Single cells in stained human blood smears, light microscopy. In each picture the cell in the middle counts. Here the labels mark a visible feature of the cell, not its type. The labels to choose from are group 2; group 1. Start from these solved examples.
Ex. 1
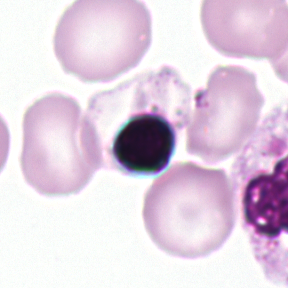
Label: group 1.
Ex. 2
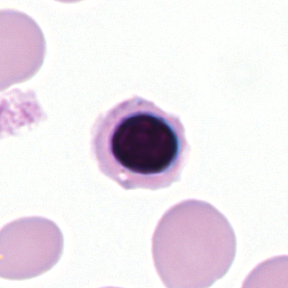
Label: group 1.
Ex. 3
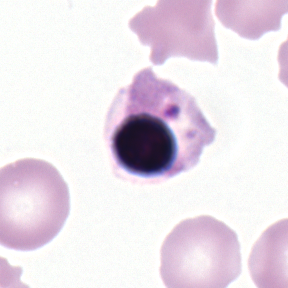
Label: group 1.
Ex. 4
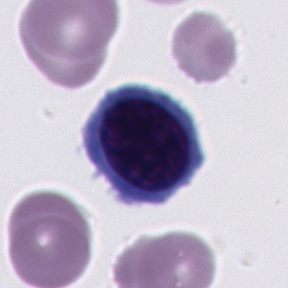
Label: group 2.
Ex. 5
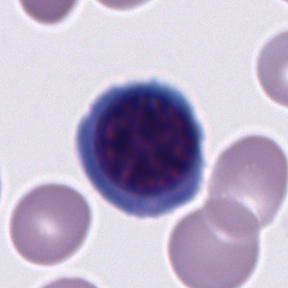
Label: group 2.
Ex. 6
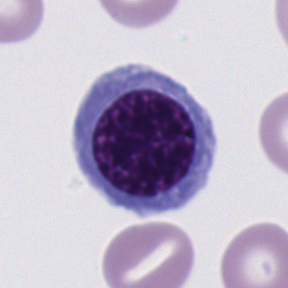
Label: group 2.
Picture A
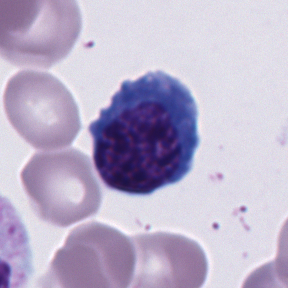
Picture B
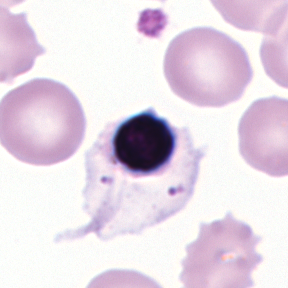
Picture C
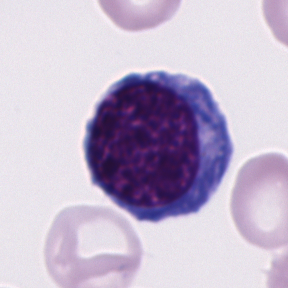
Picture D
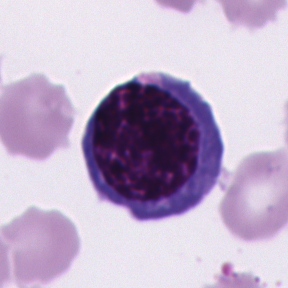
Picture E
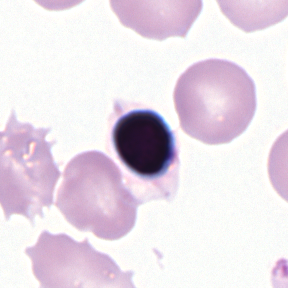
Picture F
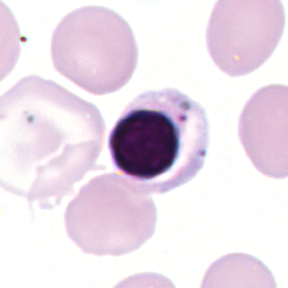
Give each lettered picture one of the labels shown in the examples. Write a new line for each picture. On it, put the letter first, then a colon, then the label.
A: group 2.
B: group 1.
C: group 2.
D: group 2.
E: group 1.
F: group 1.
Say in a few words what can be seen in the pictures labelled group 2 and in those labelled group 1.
Seen in group 2: deep or dark blue cytoplasm; seen in group 1: pink or nearly colourless cytoplasm.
